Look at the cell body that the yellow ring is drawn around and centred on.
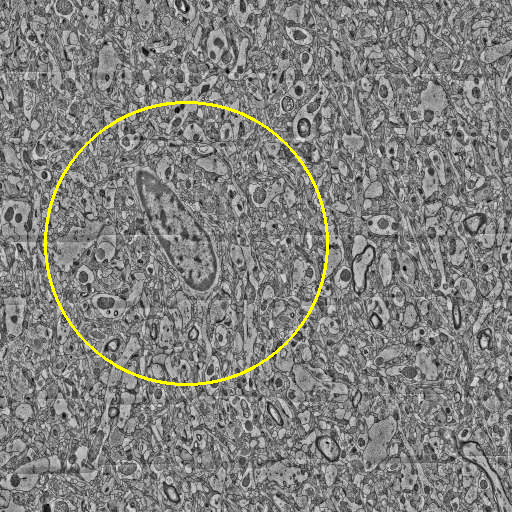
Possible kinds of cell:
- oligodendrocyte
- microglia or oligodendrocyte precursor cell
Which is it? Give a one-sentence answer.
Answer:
The centred cell body is that of a microglial cell or oligodendrocyte precursor cell.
